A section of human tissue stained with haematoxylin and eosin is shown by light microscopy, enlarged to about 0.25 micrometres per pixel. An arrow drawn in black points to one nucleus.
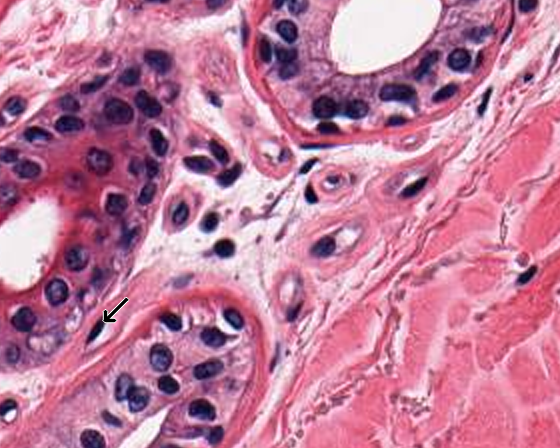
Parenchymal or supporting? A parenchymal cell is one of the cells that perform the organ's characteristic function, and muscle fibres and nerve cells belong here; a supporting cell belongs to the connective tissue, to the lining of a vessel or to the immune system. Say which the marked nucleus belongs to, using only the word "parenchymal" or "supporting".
supporting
